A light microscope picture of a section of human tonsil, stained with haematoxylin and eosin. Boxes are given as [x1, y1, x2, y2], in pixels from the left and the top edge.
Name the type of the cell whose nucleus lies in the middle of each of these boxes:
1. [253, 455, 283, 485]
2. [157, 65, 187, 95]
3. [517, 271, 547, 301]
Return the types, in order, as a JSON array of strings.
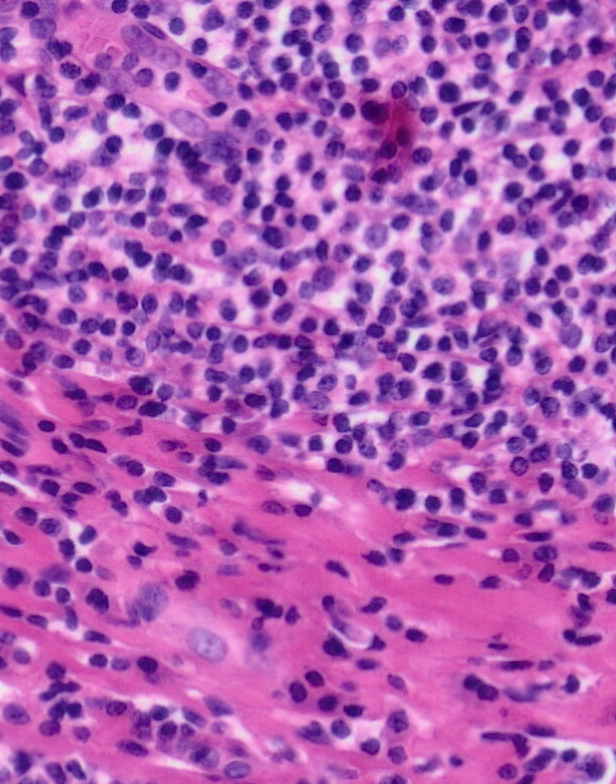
["endothelial cell", "endothelial cell", "small lymphocyte"]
